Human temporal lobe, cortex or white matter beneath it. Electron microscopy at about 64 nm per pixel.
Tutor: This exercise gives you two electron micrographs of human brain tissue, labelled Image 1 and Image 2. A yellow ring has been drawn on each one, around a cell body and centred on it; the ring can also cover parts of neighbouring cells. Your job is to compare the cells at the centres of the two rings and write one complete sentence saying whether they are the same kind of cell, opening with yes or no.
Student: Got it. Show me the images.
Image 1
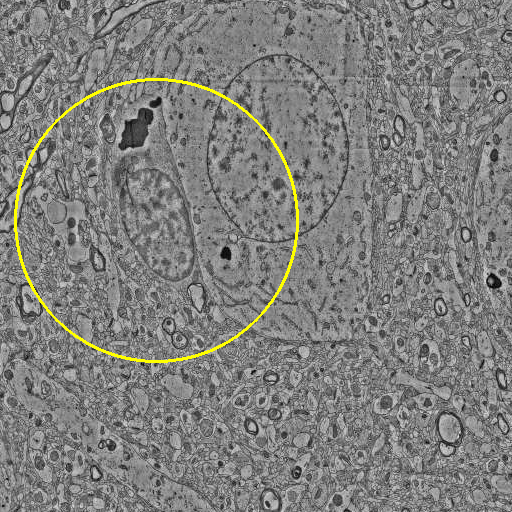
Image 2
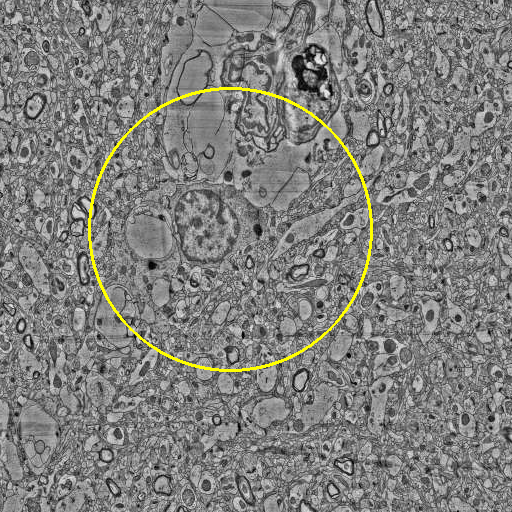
Yes, the two cells belong to the same kind.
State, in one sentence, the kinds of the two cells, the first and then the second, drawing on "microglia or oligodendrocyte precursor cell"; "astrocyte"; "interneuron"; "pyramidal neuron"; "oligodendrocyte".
Both the first and the second picture show an oligodendrocyte in the ring.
